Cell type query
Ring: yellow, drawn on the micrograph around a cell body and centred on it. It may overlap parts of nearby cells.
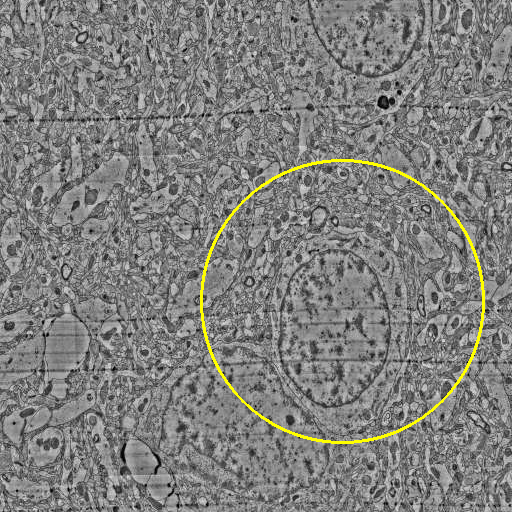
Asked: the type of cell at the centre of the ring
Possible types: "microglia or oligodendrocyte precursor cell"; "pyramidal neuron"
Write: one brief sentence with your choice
The ring marks a pyramidal neuron.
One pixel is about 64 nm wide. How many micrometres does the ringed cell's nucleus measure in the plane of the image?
Roughly 10 micrometres by 7 micrometres, in this plane.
